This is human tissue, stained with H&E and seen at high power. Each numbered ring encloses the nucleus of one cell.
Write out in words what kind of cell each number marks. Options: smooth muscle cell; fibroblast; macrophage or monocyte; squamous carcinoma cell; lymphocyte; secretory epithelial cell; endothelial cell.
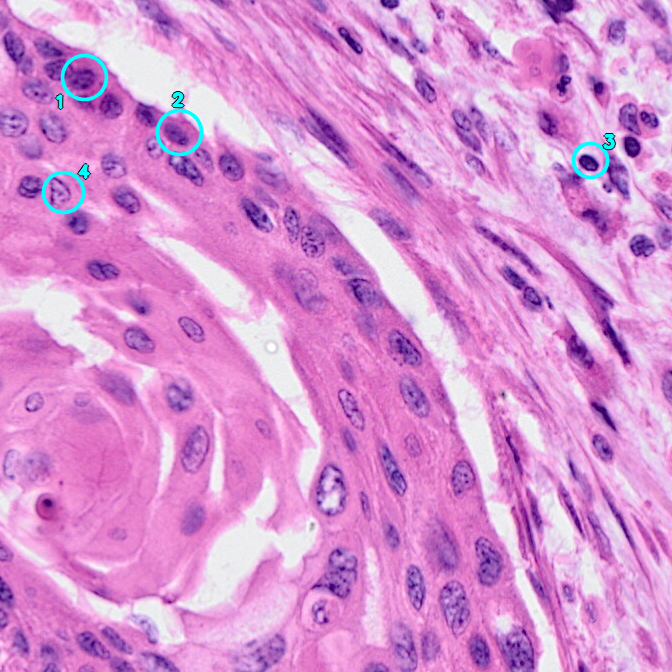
Cell 1 is a squamous carcinoma cell, cell 2 is a squamous carcinoma cell, cell 3 is a lymphocyte and cell 4 is a squamous carcinoma cell.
